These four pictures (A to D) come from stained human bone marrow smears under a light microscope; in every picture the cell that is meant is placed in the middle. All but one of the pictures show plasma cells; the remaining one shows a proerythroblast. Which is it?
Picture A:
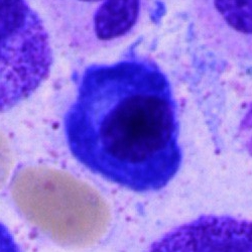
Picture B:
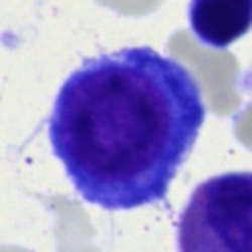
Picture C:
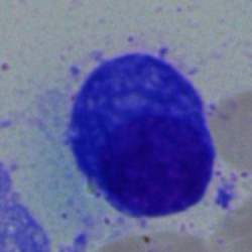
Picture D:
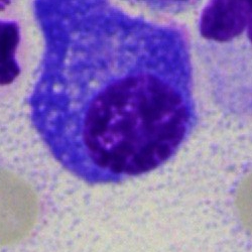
B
